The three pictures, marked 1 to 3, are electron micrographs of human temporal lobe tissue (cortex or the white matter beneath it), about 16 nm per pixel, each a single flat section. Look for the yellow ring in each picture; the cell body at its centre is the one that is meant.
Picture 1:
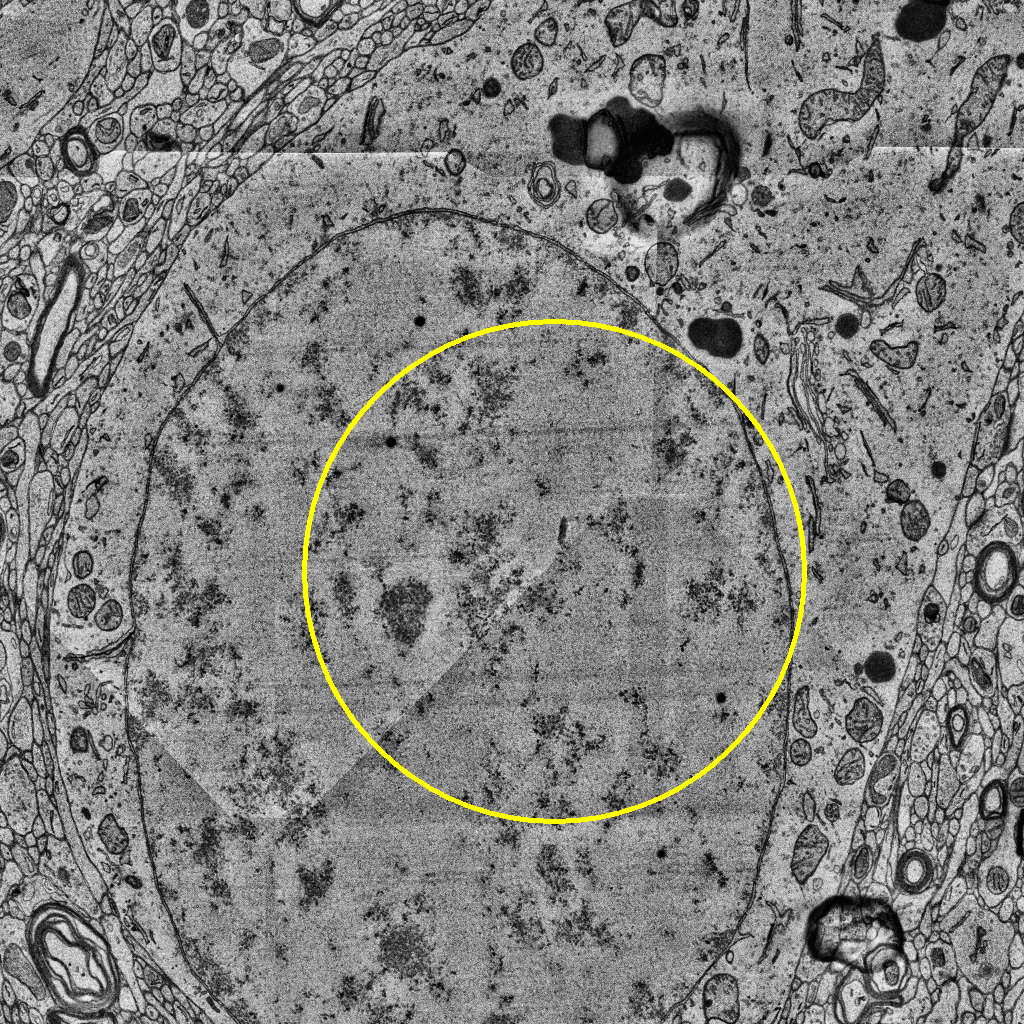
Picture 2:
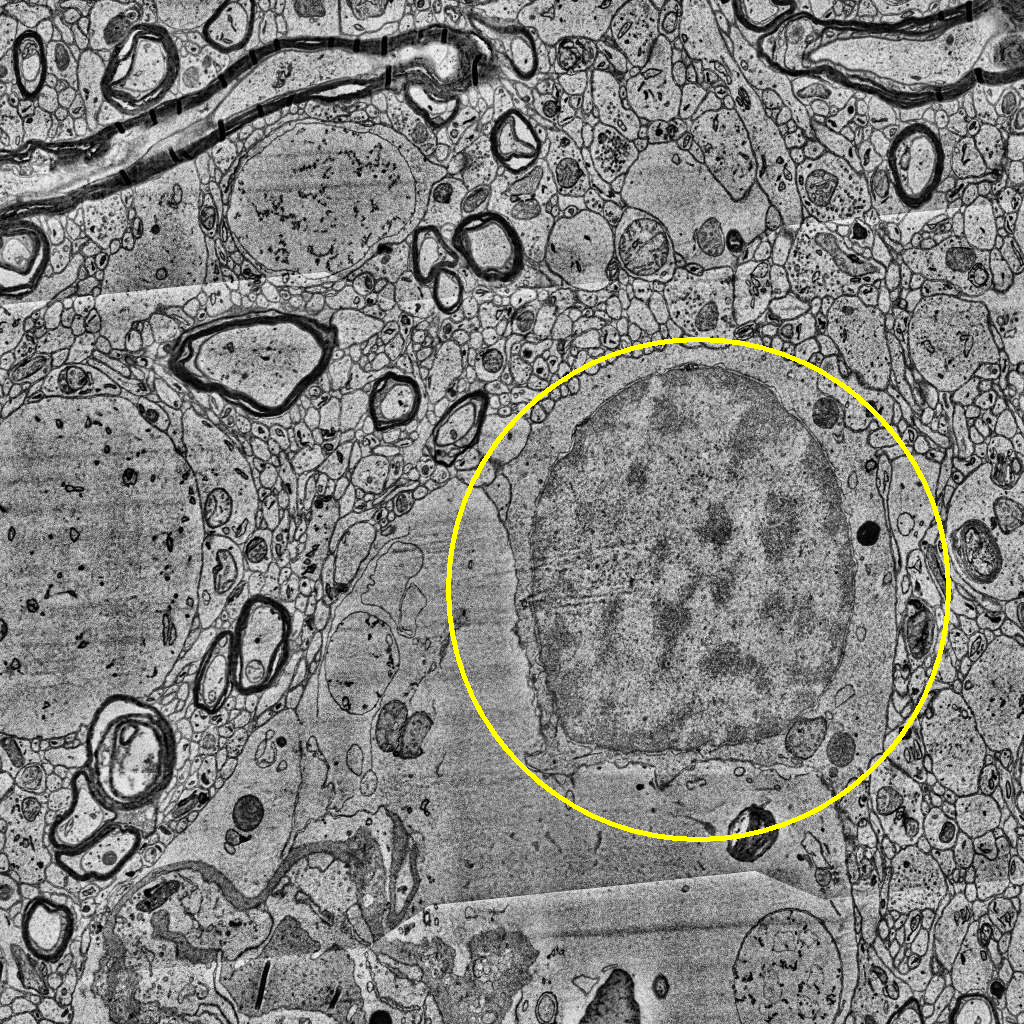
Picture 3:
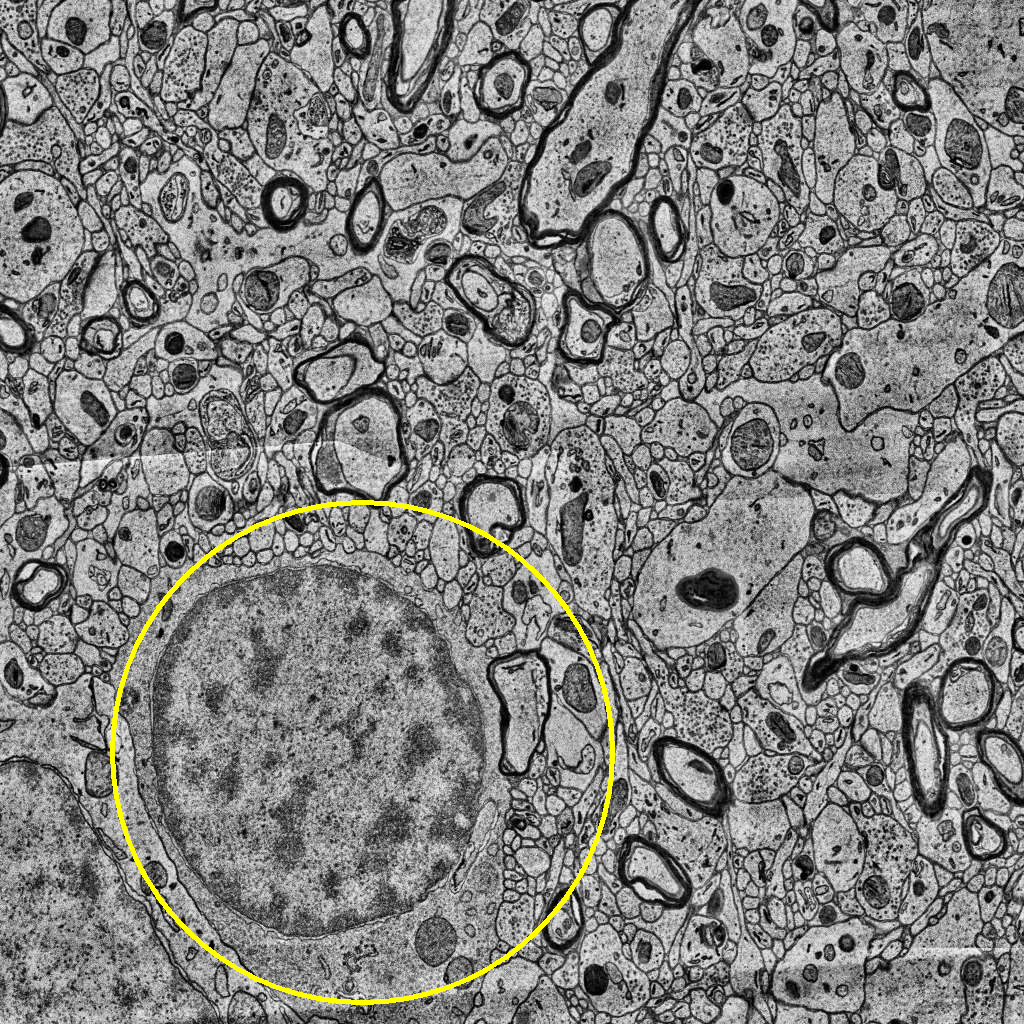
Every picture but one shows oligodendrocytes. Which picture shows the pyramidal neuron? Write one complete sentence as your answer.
Picture 1 shows the pyramidal neuron.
